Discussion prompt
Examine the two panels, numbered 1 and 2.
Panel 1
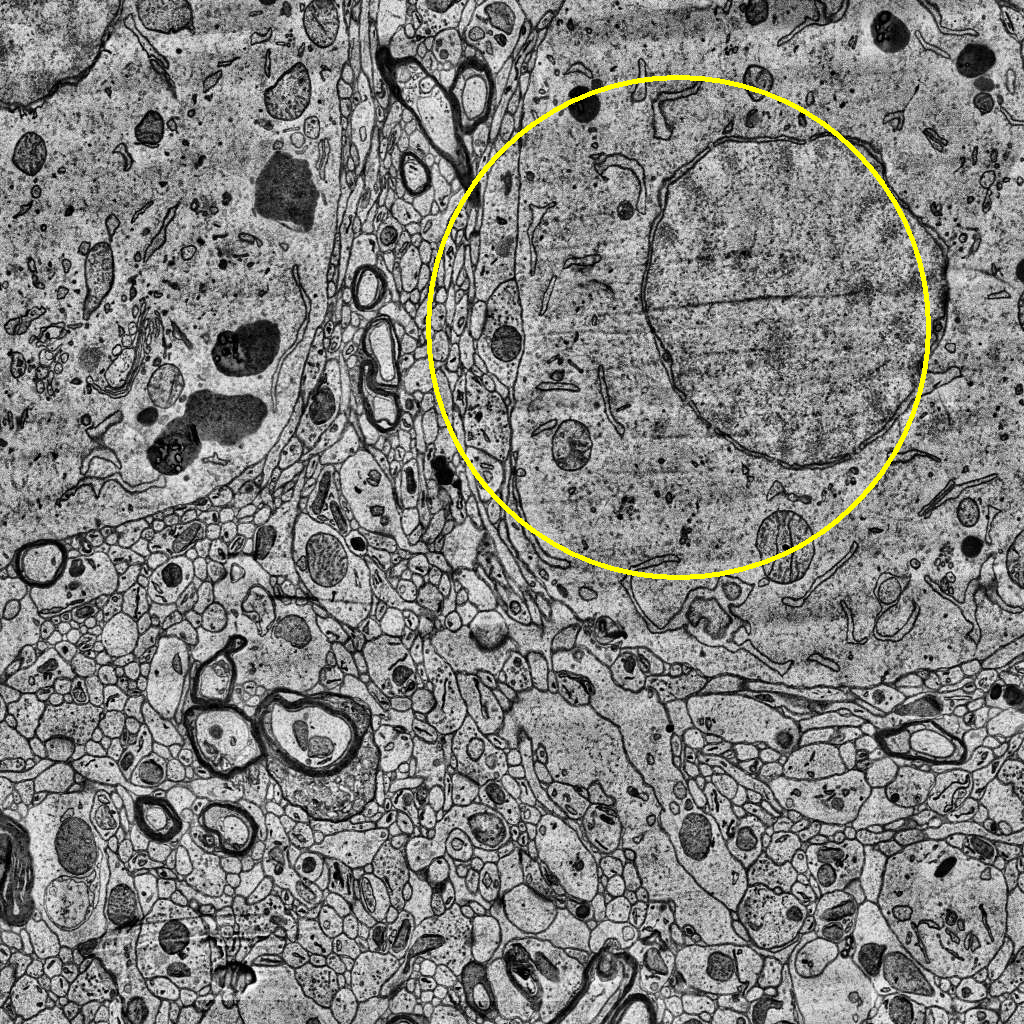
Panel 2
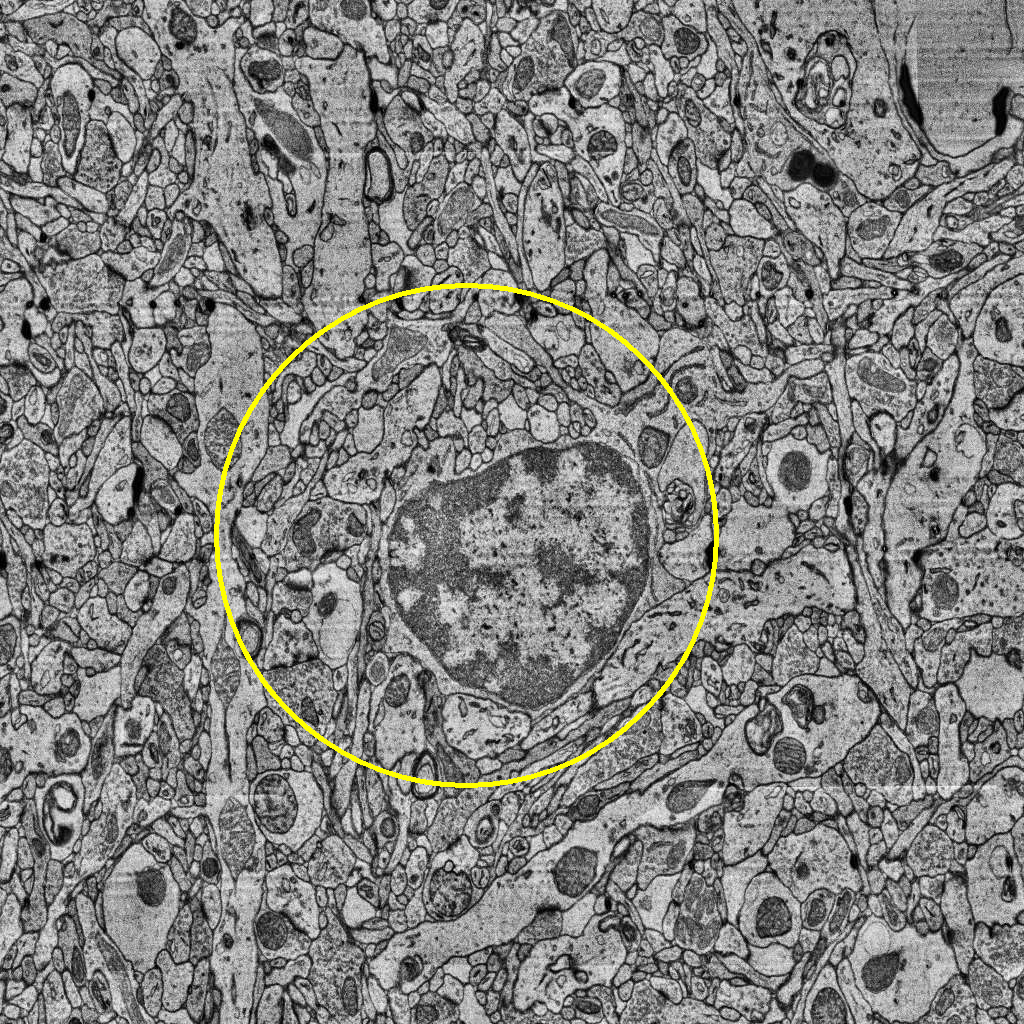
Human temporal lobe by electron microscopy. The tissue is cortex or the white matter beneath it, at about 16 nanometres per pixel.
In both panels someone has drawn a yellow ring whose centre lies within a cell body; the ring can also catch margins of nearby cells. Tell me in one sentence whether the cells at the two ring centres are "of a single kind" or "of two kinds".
Taken together, the two cells at the ring centres of Panels 1 and 2 are of a single kind.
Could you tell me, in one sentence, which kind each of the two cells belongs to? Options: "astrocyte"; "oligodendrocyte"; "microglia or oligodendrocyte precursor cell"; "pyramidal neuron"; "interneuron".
Both cells are the same kind, each one being a microglial cell or oligodendrocyte precursor cell.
